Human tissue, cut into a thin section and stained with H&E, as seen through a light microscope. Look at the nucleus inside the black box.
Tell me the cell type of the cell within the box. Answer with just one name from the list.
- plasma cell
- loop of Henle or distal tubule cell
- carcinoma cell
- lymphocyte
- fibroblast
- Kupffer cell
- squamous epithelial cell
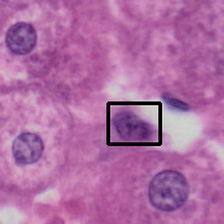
Kupffer cell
